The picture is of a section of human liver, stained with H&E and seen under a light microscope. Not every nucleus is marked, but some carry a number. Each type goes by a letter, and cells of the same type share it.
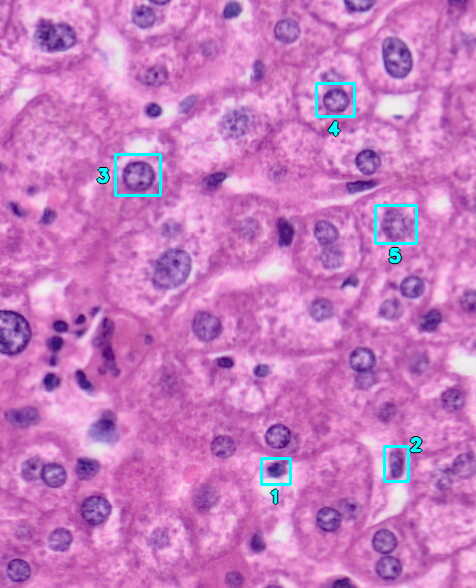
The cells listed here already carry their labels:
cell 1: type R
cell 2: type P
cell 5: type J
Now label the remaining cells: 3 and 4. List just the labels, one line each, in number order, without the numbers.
type J
type J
